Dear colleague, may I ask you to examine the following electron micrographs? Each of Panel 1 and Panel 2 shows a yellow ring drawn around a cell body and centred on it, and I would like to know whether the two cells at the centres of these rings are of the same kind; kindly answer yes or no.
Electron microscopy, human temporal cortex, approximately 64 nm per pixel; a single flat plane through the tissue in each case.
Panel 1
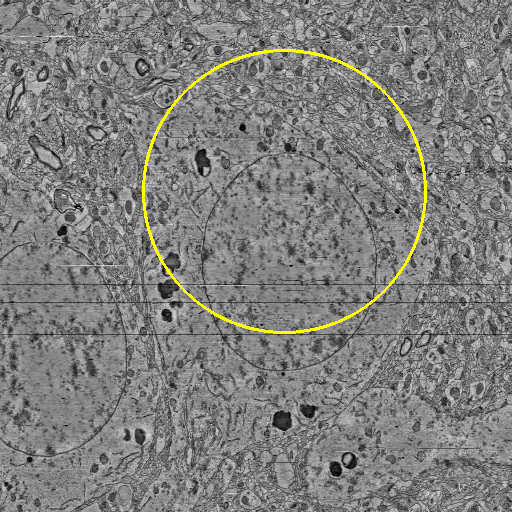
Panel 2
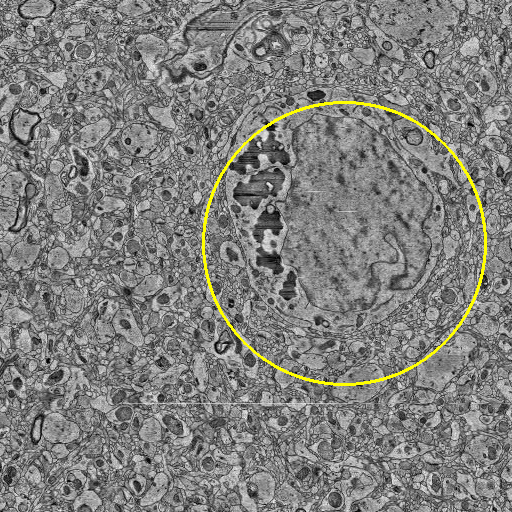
no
